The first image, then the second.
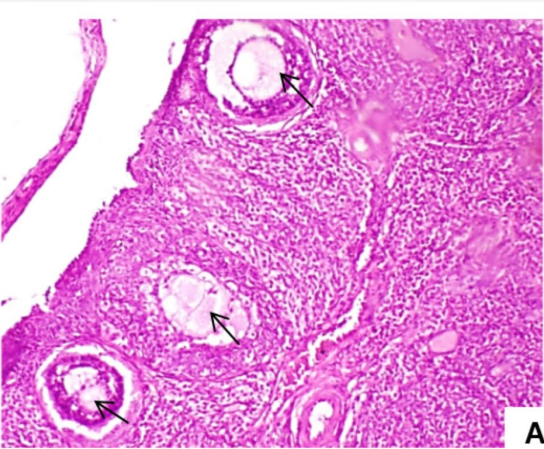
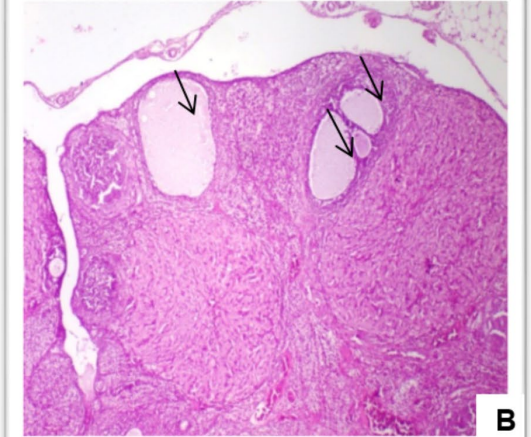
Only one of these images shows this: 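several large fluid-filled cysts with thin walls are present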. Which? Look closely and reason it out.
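Second image: several large pale fluid-filled cavities with thin cellular walls. First image: rounded follicles with thick multilayered cellular walls around small central cavities. That points to this answer: the second image.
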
